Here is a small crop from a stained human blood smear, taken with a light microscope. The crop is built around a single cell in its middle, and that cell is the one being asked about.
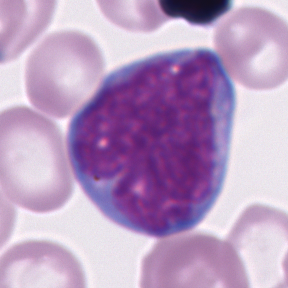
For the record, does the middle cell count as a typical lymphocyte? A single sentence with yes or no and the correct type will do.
No, the cell in the middle is a myeloblast; it is not a typical lymphocyte.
